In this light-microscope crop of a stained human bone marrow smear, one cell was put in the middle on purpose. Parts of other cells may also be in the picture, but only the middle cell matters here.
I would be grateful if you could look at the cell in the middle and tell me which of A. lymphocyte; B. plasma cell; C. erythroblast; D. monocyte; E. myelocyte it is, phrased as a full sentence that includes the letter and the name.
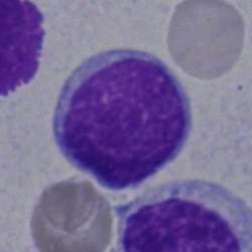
The correct identification, given in option A, is that the central cell is a lymphocyte.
